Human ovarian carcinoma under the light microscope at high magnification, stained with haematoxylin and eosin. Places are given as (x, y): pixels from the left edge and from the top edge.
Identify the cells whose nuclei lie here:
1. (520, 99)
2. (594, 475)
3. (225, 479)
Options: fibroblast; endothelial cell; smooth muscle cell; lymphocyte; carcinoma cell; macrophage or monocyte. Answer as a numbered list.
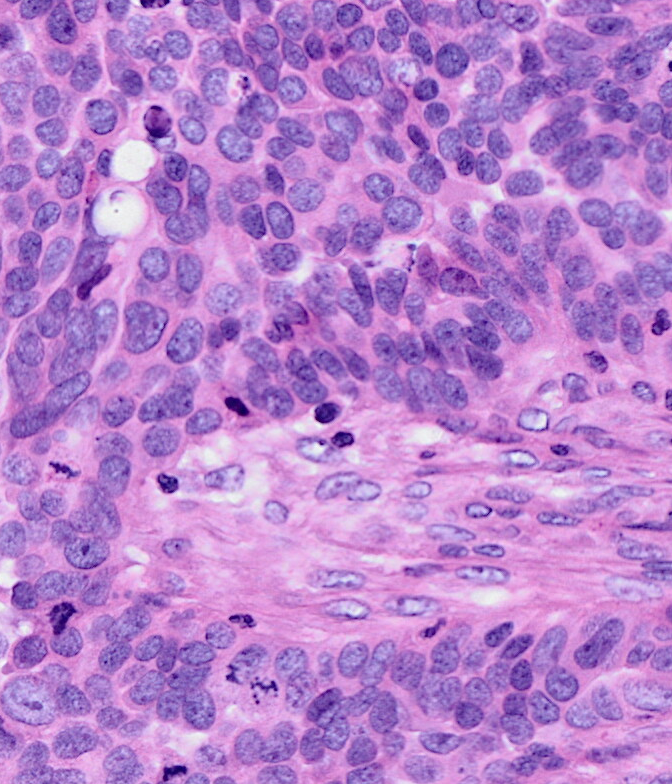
1. carcinoma cell
2. fibroblast
3. fibroblast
